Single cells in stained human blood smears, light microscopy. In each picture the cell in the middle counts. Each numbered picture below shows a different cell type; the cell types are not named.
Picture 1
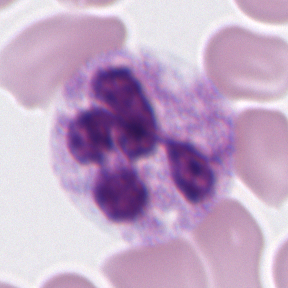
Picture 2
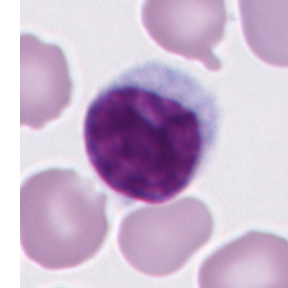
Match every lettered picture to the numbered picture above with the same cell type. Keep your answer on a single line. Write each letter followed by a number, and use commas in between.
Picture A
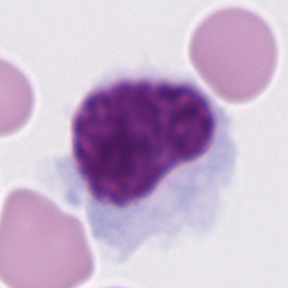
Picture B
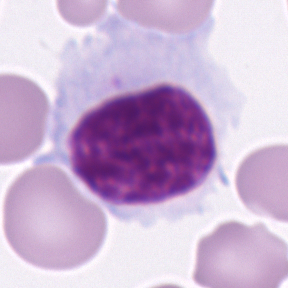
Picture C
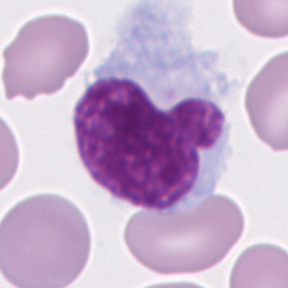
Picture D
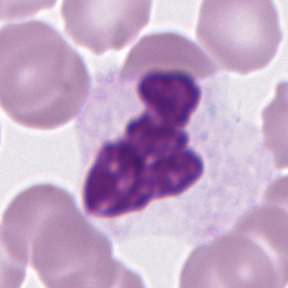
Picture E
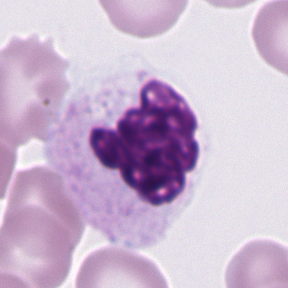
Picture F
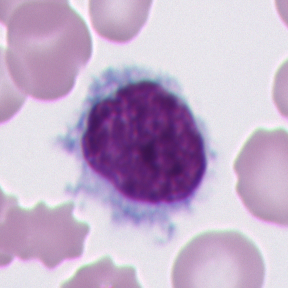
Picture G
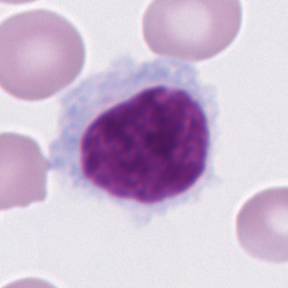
A 2, B 2, C 2, D 1, E 1, F 2, G 2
